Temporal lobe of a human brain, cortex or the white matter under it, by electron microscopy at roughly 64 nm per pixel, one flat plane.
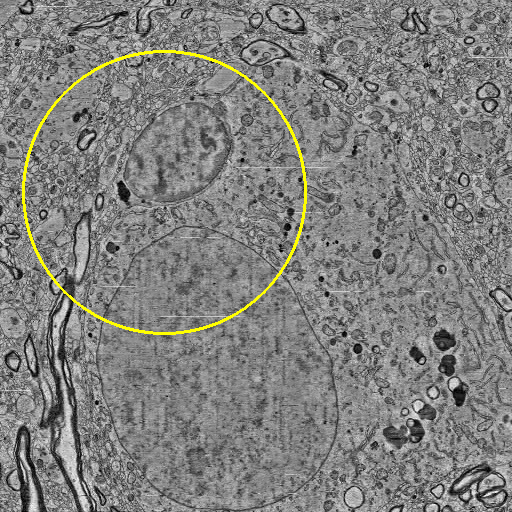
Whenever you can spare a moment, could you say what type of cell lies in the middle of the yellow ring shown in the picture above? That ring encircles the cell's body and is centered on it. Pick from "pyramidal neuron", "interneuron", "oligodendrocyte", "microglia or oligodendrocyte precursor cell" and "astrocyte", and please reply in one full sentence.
The cell whose body sits at the middle of the yellow ring is an oligodendrocyte.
